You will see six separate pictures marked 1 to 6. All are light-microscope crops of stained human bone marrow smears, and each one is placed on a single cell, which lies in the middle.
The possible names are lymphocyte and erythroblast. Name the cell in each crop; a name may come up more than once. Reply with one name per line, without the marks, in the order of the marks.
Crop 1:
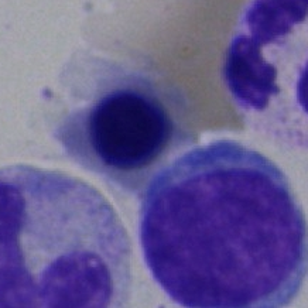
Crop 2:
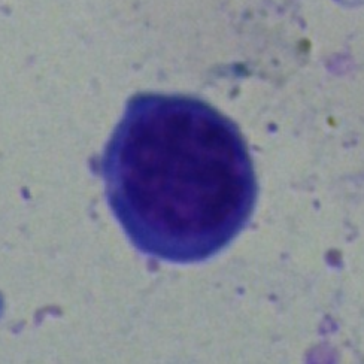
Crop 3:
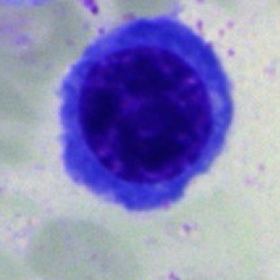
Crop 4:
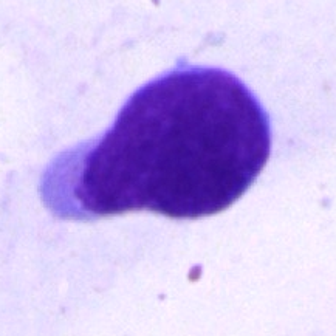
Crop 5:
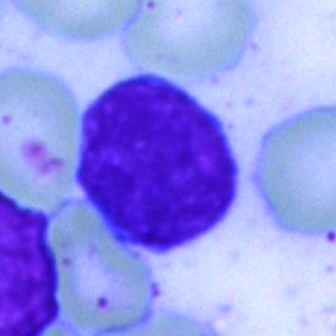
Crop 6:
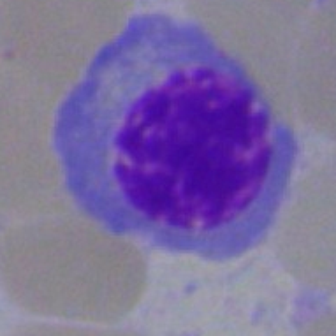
erythroblast
erythroblast
erythroblast
lymphocyte
lymphocyte
erythroblast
